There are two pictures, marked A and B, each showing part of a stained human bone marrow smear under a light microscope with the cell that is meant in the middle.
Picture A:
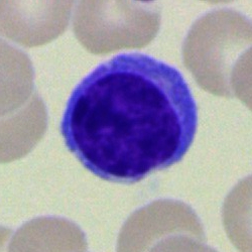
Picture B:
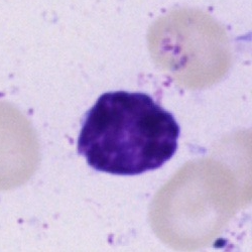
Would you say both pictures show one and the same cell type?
yes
